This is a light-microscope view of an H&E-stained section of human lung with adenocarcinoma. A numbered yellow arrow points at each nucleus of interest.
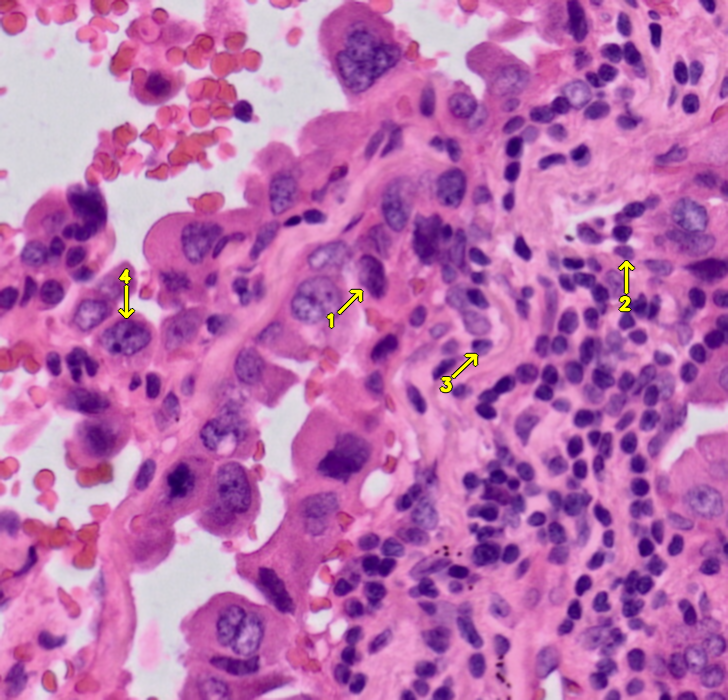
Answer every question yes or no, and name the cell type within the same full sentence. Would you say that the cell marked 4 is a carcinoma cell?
Yes, the cell tagged with the number 4 is a carcinoma cell.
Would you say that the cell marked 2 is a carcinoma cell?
No, the cell labelled number 2 is not a carcinoma cell; it is a lymphocyte.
